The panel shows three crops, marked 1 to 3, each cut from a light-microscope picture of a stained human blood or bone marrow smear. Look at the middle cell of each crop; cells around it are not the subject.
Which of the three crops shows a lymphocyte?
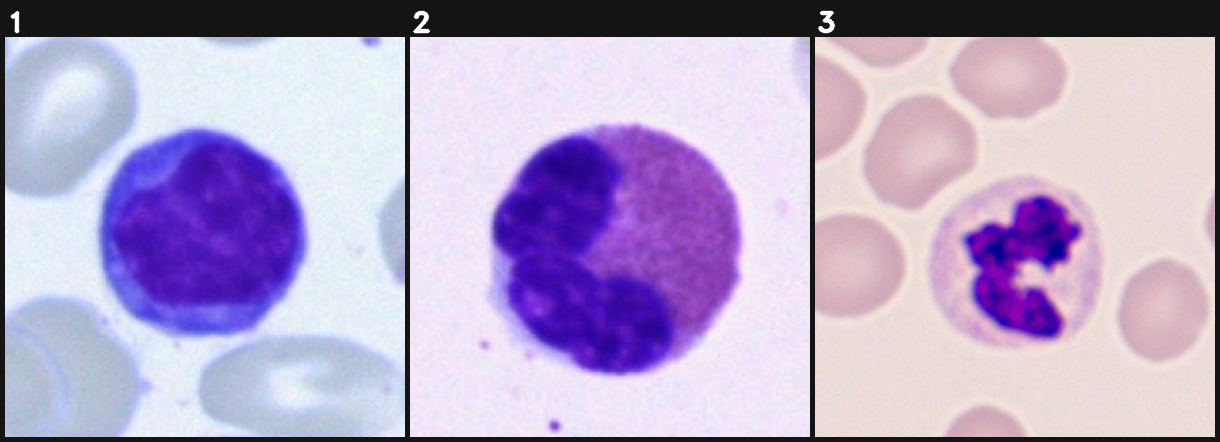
1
